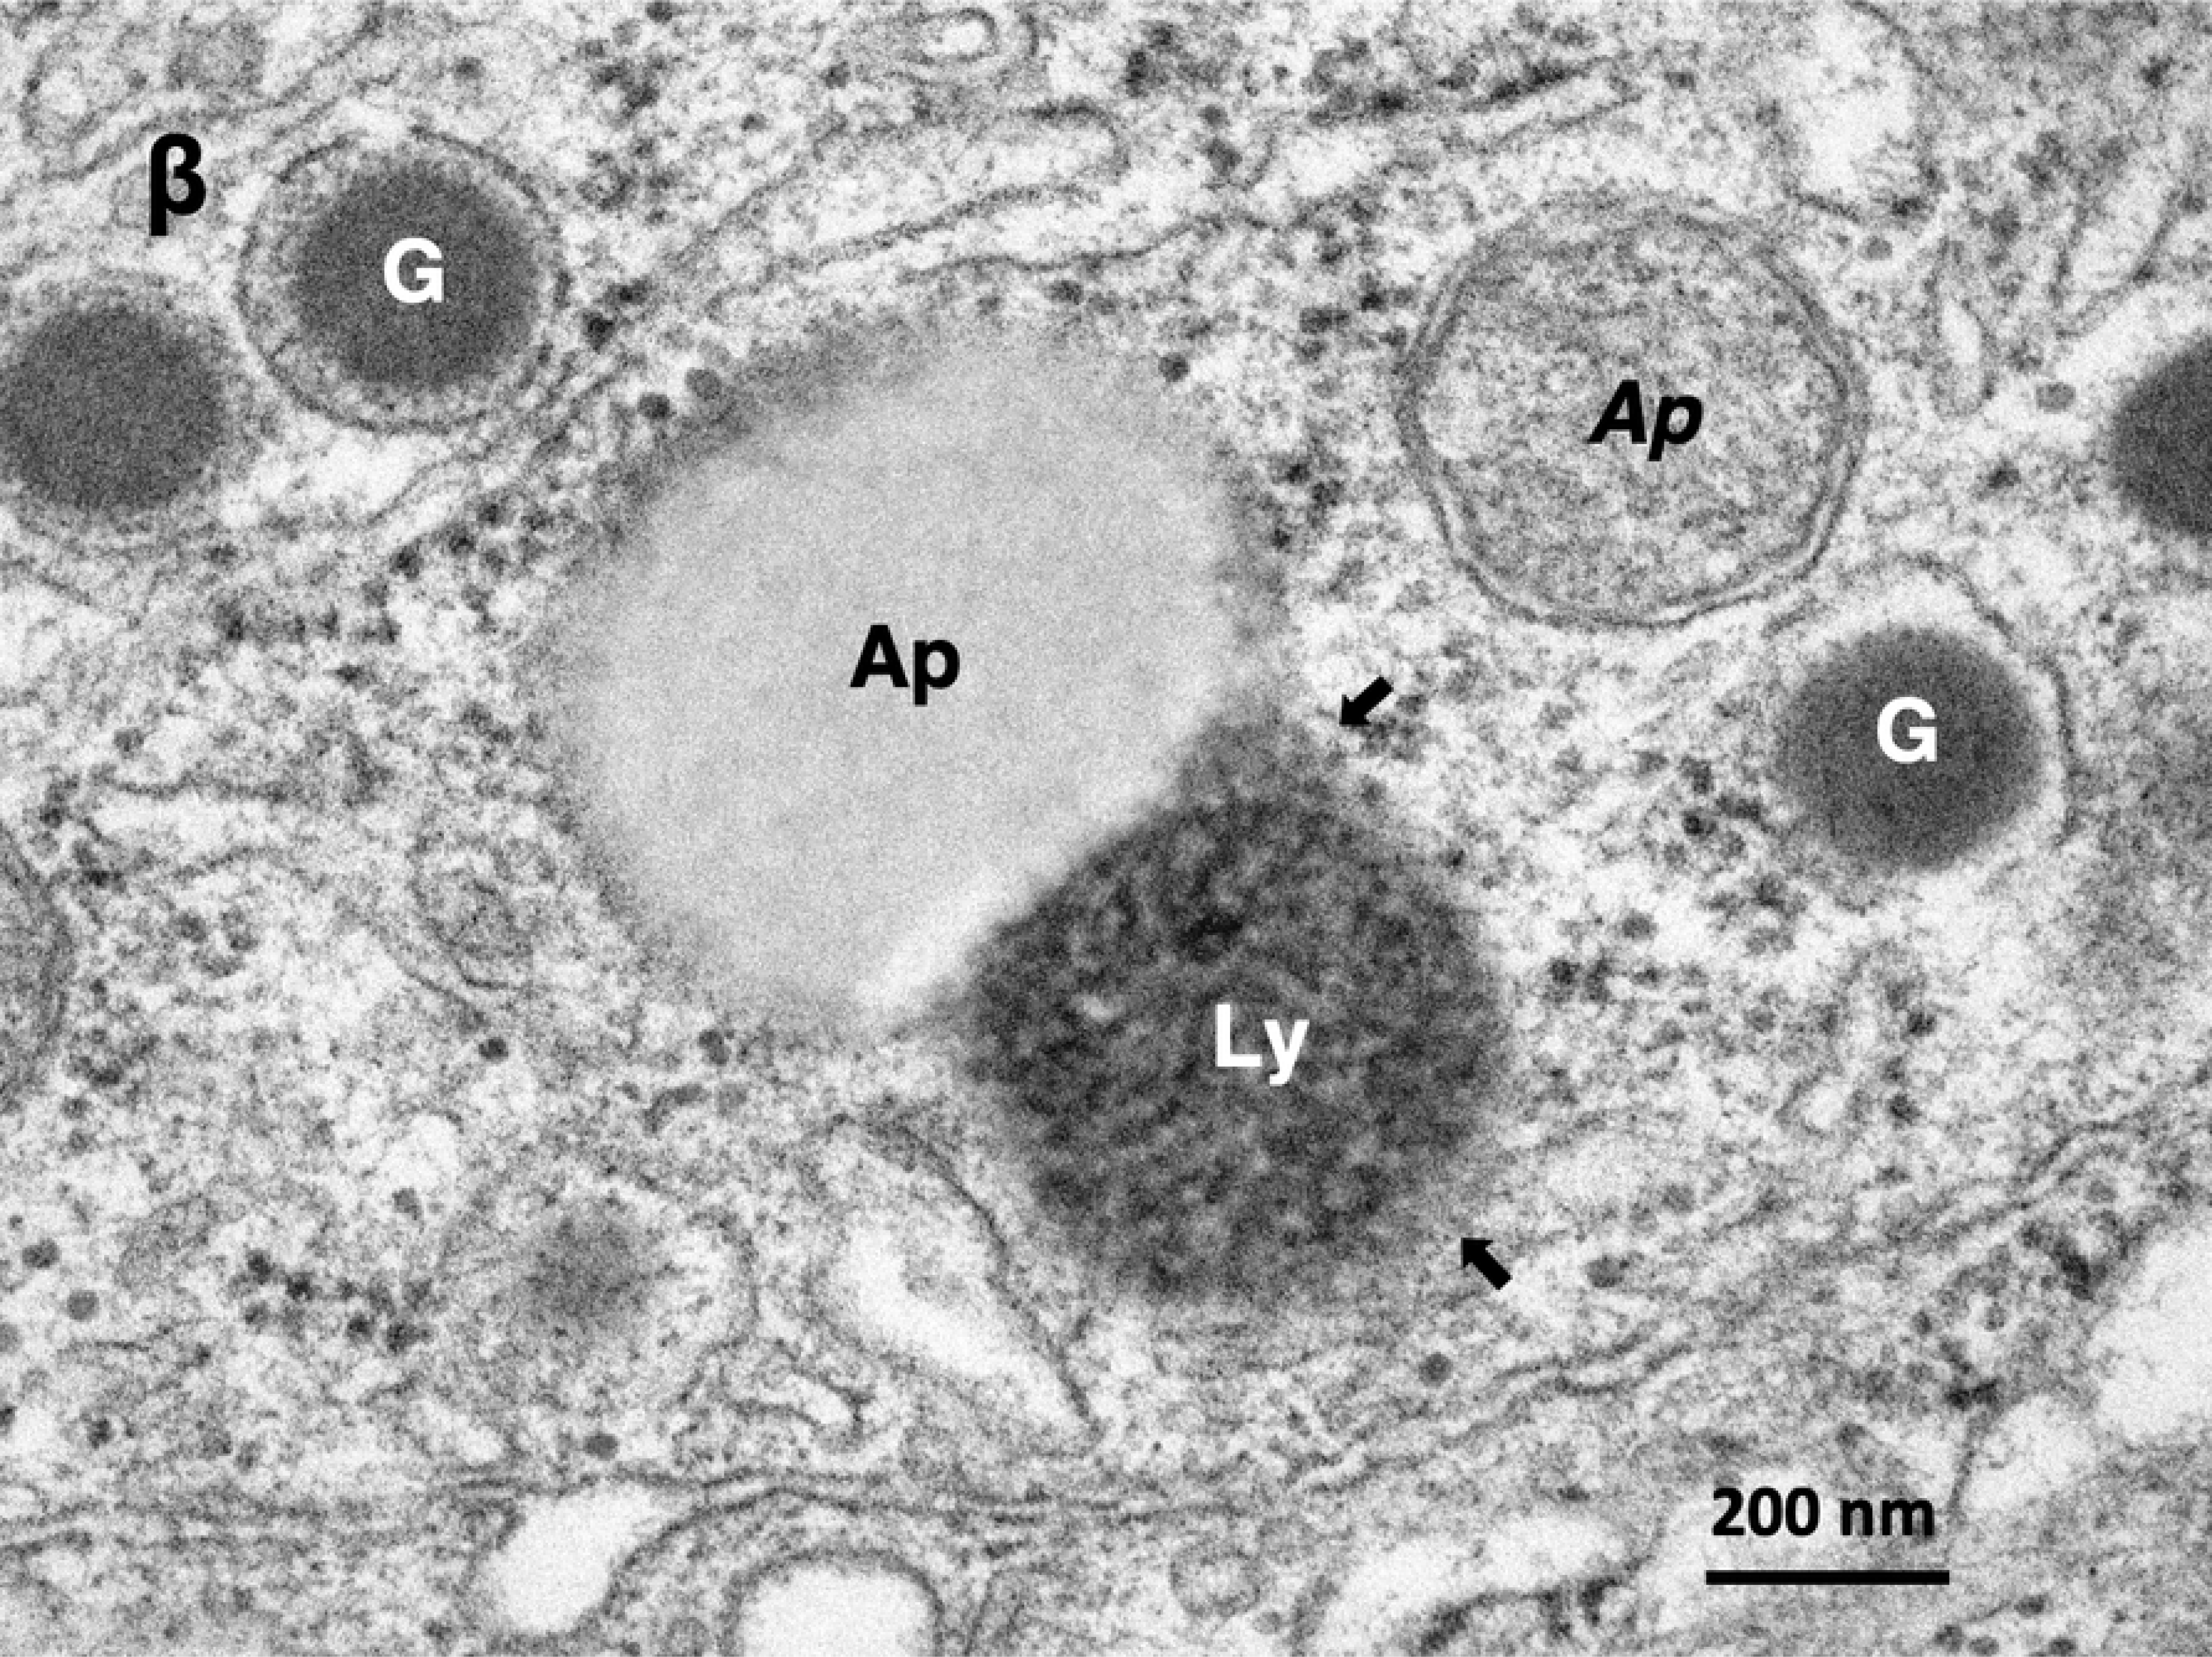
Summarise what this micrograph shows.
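The cytoplasm of a pancreatic β-cell contains several round insulin granules with dense grey cores surrounded by a pale halo and a limiting membrane. In the centre, a large pale vacuole with finely granular content and no visible double membrane lies directly against a smaller, dark, mottled lysosome, as though the two are fusing. The edge of the lysosome appears blurred, with no sharp limiting membrane and its dark content fading into the surrounding cytoplasm. At the upper right, a second round vacuole is bounded by a distinct double membrane and holds granular, membranous material, and the surrounding cytoplasm contains profiles of endoplasmic reticulum and scattered ribosomes.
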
